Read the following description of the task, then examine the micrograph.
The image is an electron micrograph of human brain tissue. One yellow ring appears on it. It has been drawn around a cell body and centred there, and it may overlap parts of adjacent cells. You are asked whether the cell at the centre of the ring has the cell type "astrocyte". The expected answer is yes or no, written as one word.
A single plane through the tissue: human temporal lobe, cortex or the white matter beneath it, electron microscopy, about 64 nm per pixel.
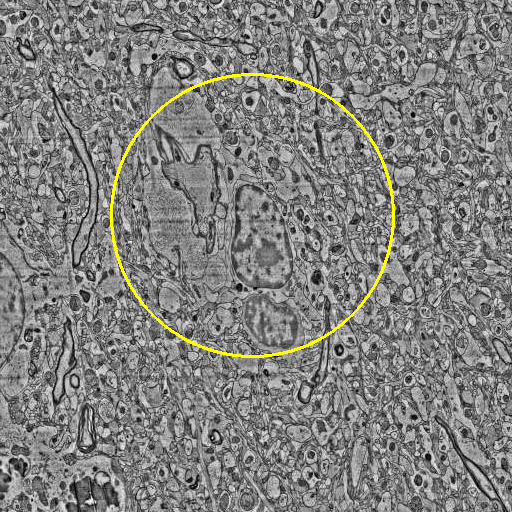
no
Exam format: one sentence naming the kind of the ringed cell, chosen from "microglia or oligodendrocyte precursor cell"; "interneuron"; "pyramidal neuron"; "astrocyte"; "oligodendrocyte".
That cell in the ring is a microglial cell or oligodendrocyte precursor cell instead.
